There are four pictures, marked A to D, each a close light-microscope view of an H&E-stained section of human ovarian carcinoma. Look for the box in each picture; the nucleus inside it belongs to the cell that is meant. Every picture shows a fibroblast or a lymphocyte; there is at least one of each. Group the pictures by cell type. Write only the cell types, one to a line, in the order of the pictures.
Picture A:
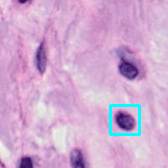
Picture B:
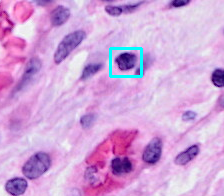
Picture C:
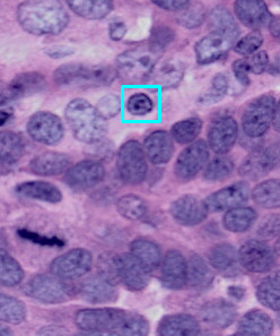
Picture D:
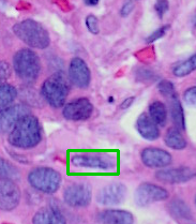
lymphocyte
lymphocyte
lymphocyte
fibroblast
